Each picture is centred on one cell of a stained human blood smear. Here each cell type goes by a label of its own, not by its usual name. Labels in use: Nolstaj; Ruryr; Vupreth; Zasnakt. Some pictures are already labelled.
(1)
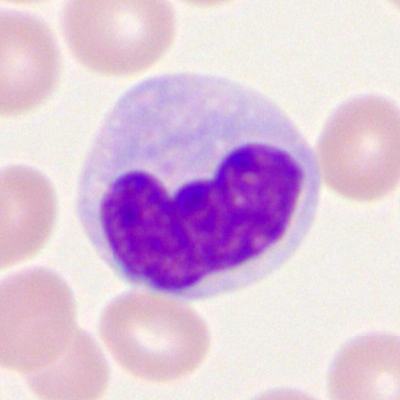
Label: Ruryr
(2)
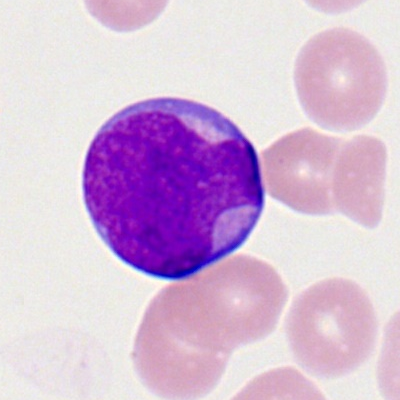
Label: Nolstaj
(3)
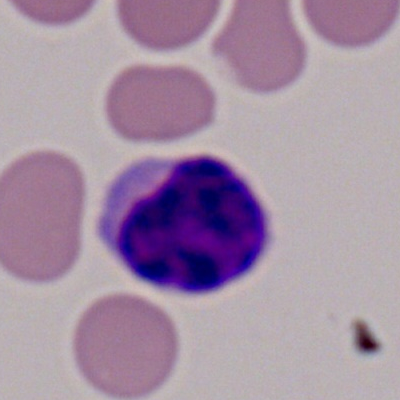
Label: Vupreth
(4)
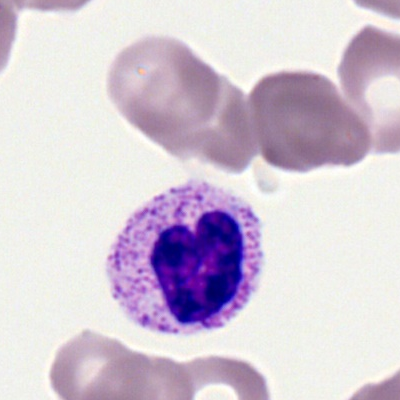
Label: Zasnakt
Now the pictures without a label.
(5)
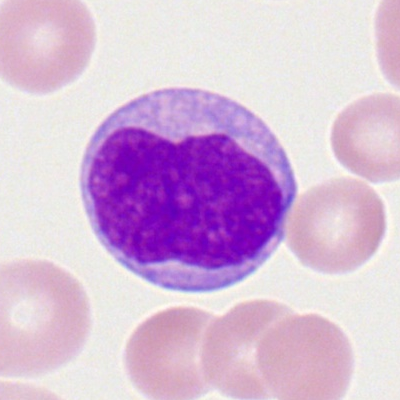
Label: Ruryr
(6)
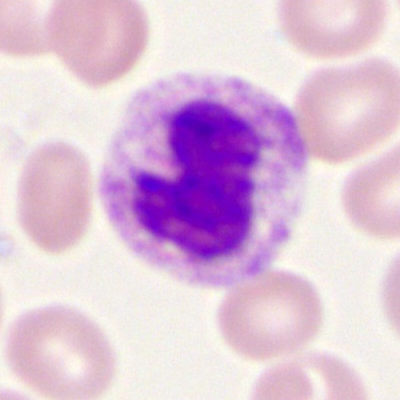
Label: Zasnakt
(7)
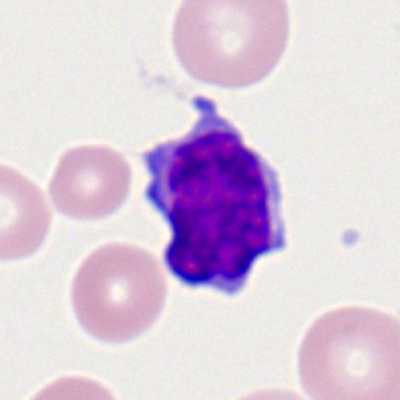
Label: Vupreth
